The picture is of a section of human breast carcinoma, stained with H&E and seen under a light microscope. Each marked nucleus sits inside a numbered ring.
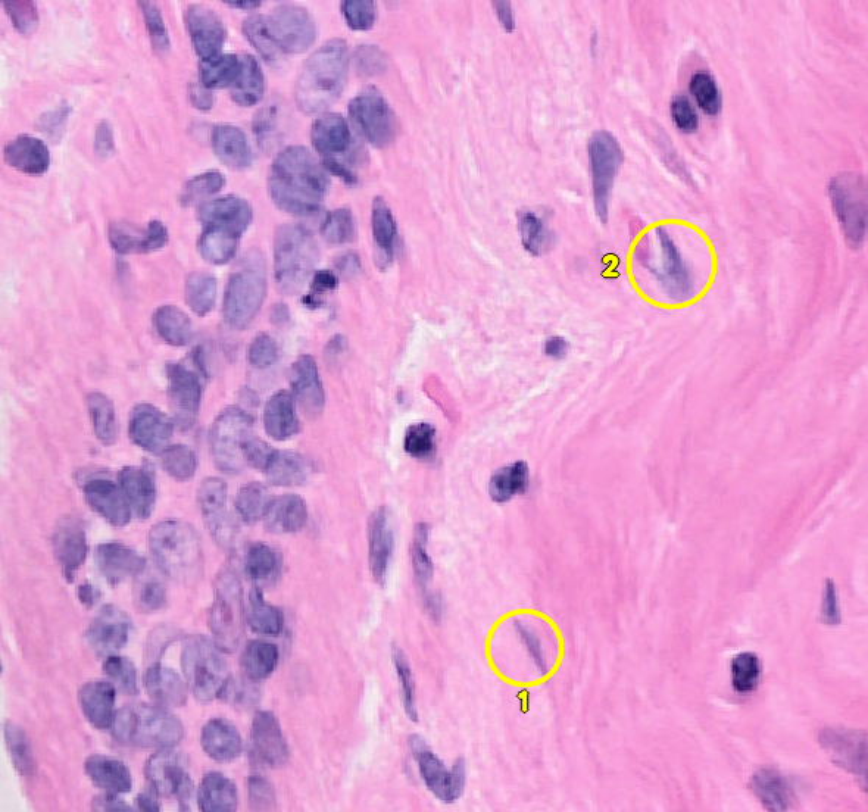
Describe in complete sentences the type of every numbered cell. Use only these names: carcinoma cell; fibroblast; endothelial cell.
Cell 1 is a fibroblast. Cell 2 is an endothelial cell.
